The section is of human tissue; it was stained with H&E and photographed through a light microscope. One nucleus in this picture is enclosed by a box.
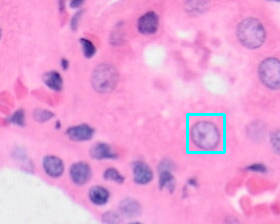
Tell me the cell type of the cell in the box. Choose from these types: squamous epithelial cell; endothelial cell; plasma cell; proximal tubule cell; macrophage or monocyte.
proximal tubule cell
